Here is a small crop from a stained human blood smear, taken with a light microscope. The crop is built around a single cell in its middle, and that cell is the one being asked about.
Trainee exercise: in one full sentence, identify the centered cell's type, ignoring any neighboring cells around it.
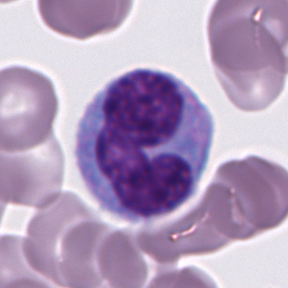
The cell at the heart of this crop is a monocyte.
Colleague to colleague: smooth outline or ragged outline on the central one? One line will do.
In short, the margin is smooth with no projections at all.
